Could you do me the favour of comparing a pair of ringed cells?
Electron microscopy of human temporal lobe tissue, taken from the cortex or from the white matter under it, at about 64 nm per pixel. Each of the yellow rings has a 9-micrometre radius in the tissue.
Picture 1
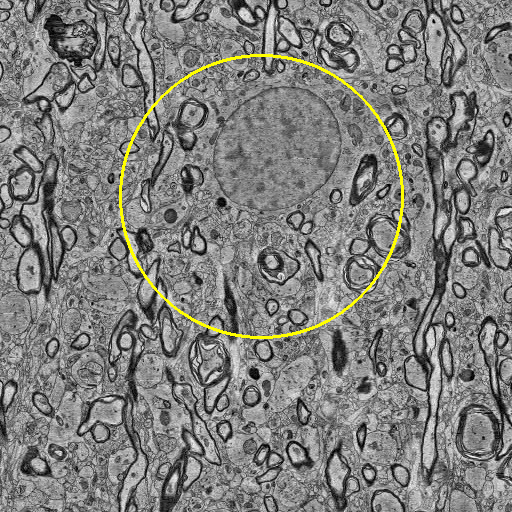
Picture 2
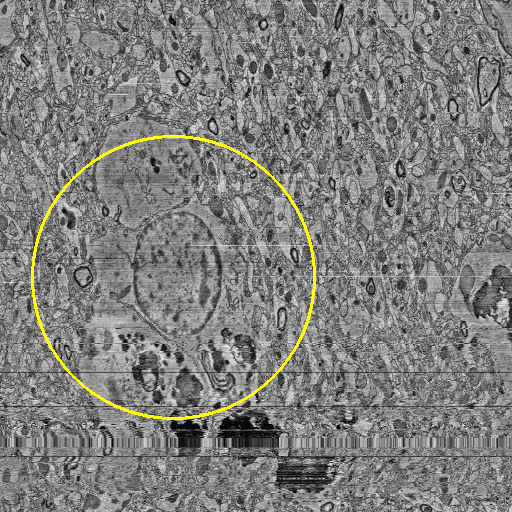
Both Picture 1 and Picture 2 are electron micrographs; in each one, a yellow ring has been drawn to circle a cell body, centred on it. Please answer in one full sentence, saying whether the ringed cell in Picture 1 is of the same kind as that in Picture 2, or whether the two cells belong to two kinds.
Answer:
The ringed cells in Picture 1 and Picture 2 belong to two kinds.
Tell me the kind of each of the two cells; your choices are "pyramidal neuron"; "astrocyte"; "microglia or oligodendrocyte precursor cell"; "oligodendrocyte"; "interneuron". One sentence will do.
The ringed cell is an oligodendrocyte in the first picture and an astrocyte in the second picture.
